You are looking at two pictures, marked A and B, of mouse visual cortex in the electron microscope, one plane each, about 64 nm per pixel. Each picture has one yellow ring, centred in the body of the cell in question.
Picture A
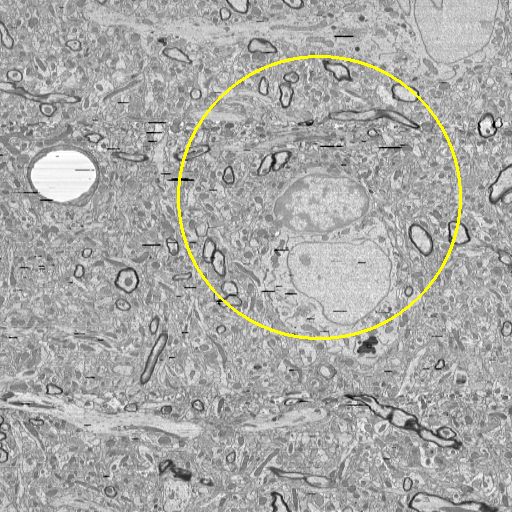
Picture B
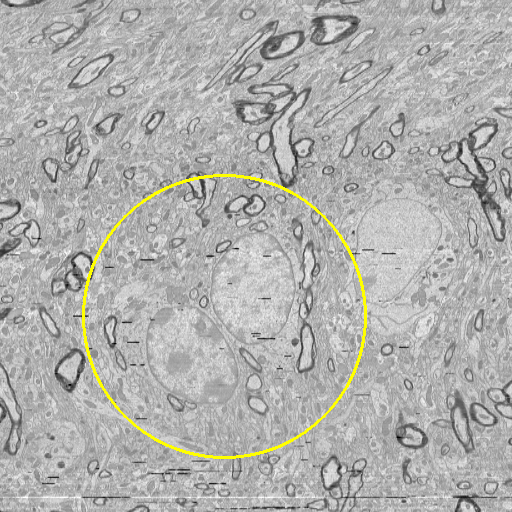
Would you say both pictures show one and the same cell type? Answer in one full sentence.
Yes, they are the same type: both are oligodendrocytes.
